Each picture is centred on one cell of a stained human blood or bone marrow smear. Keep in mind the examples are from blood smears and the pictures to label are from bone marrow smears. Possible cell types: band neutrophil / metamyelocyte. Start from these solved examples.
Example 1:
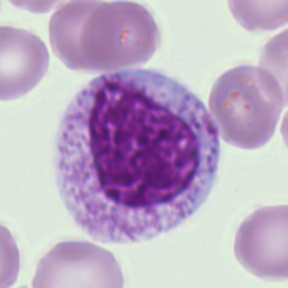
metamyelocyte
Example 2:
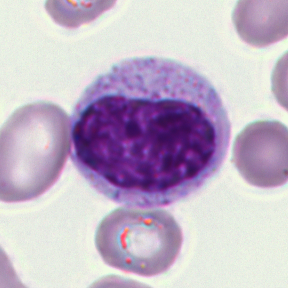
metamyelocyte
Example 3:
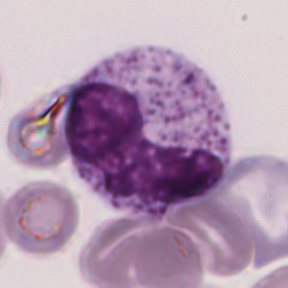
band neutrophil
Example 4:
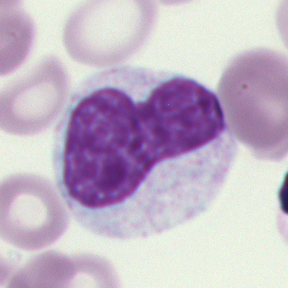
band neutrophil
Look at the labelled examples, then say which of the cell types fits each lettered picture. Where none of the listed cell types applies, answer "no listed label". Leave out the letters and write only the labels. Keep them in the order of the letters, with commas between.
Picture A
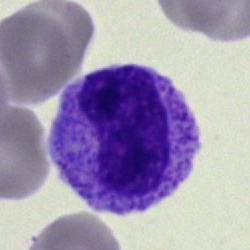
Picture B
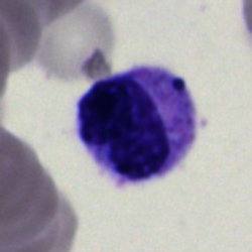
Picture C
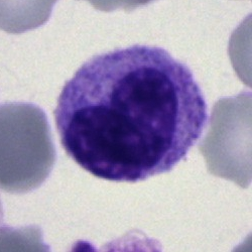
metamyelocyte, metamyelocyte, metamyelocyte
